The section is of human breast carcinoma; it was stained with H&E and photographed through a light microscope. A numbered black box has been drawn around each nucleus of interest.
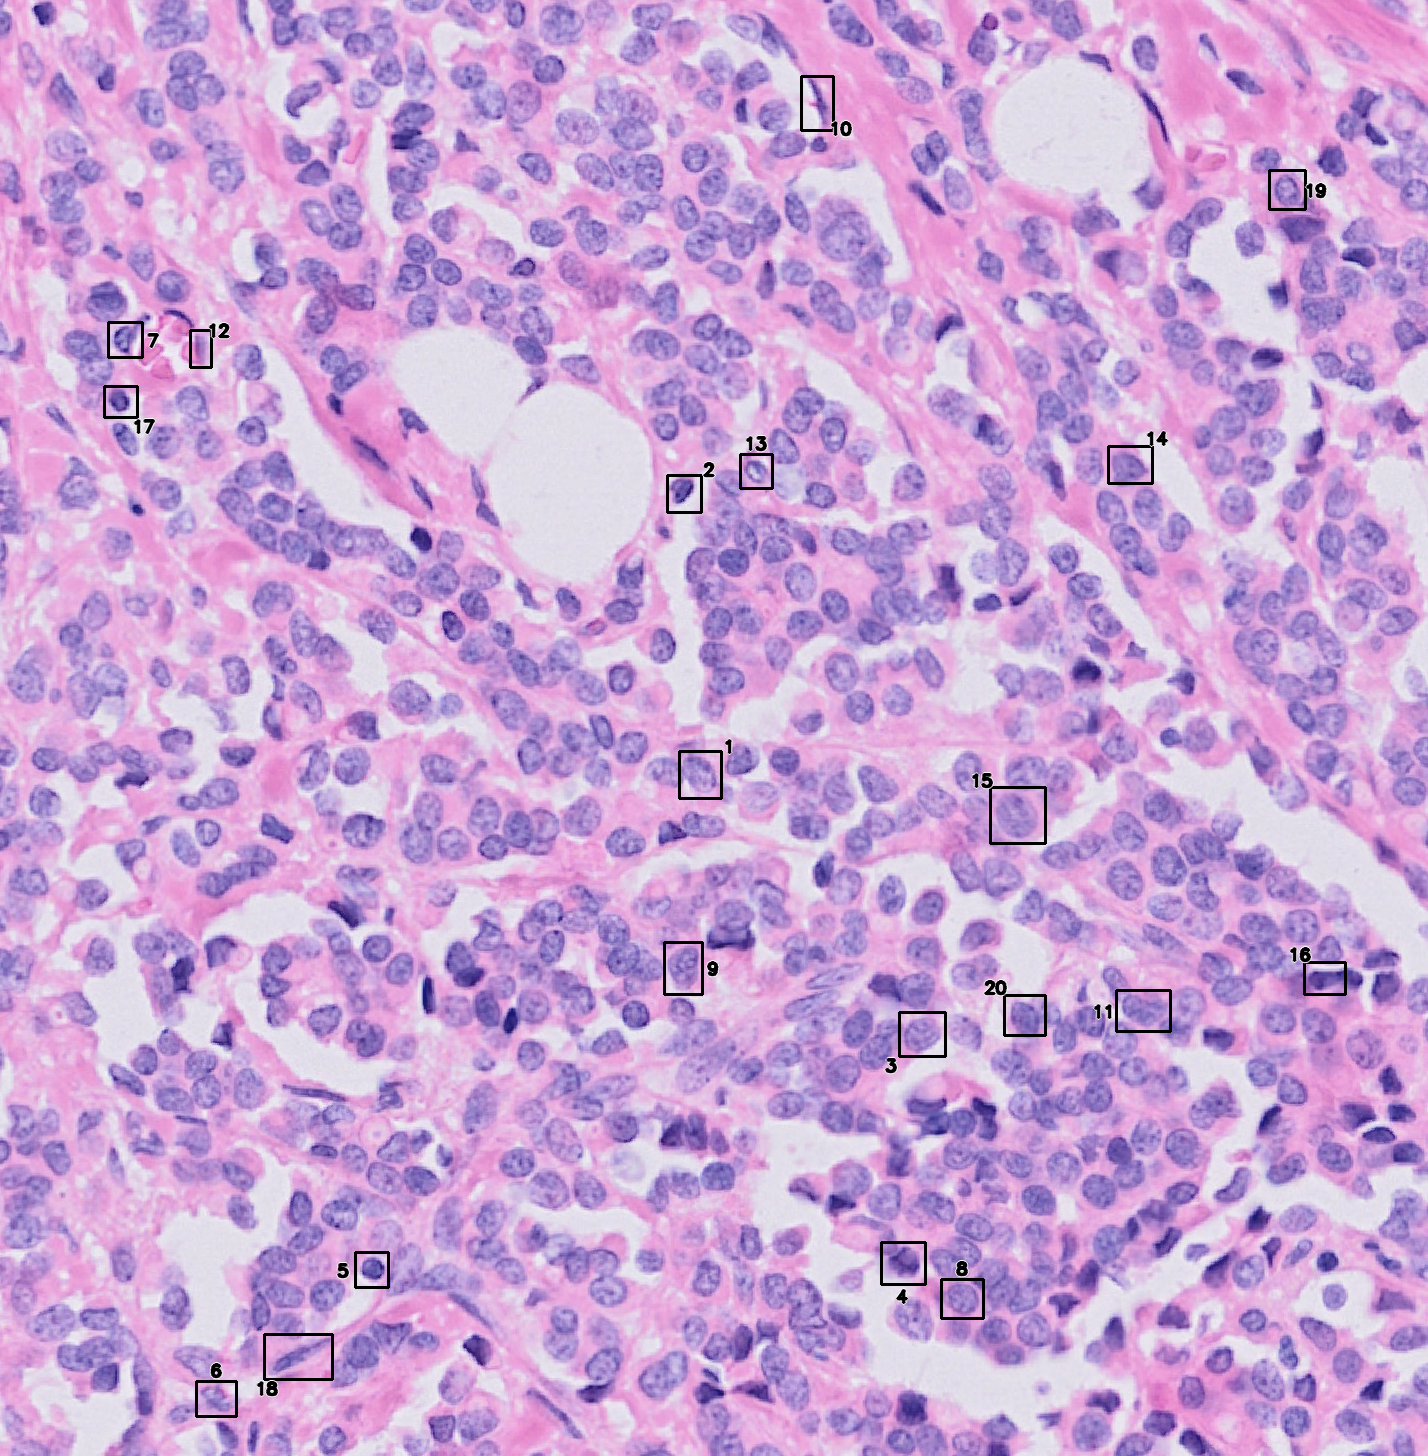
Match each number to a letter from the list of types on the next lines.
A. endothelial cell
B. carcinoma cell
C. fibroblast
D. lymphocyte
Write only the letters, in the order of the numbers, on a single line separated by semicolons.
B; D; B; B; D; A; A; B; B; C; B; A; A; B; B; B; D; A; B; B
